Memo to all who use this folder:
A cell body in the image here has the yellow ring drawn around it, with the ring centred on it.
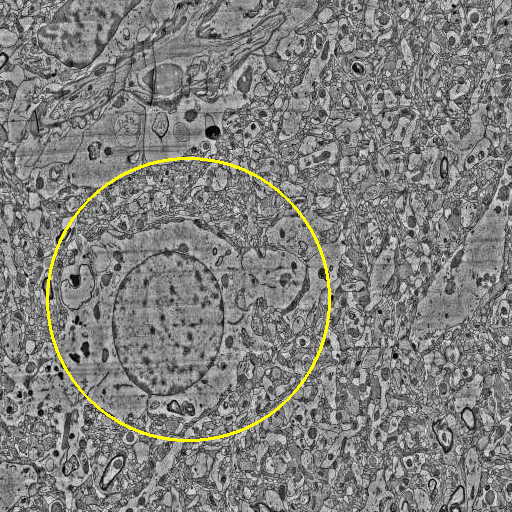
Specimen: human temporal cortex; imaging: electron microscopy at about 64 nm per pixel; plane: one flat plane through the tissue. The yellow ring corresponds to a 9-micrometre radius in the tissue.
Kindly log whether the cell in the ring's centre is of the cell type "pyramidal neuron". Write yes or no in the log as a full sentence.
No, logged: the ring in this image is centred on a cell of a different type.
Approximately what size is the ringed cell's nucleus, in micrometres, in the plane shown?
In this plane the nucleus measures roughly 9 by 7 micrometers.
